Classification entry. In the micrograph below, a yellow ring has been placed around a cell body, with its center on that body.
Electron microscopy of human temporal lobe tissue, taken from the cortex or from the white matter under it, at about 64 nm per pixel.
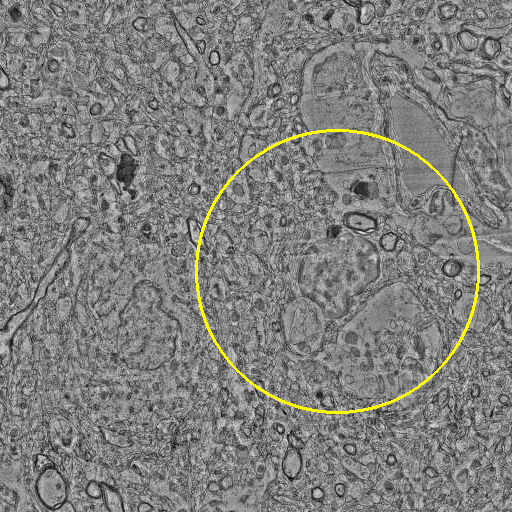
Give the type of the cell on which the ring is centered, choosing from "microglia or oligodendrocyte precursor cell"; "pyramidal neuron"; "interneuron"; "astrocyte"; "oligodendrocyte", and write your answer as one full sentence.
The cell body at the center of the yellow ring belongs to a microglial cell or oligodendrocyte precursor cell.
